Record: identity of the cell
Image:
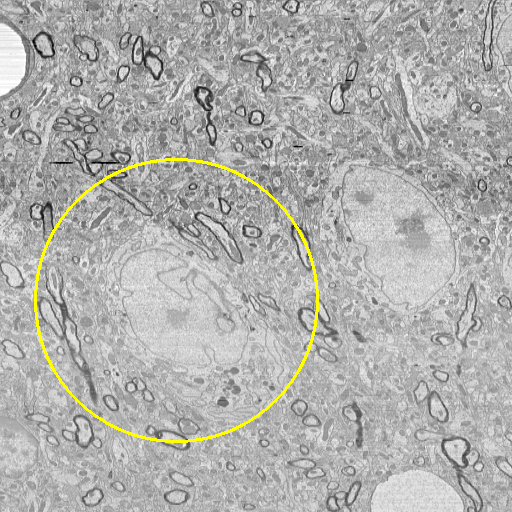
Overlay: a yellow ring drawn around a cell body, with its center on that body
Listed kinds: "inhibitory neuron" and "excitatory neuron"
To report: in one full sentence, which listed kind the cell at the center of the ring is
In the image, the cell body at the ring's center belongs to an inhibitory neuron.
